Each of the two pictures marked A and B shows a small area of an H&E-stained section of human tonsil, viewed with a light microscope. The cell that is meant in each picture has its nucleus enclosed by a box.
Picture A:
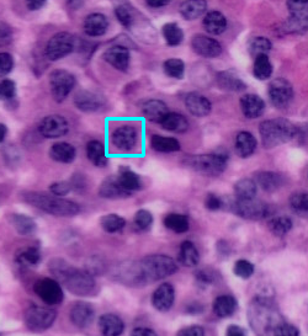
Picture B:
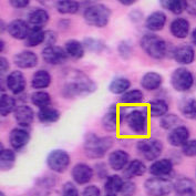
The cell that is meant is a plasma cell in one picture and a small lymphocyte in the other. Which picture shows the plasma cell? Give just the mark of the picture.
A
